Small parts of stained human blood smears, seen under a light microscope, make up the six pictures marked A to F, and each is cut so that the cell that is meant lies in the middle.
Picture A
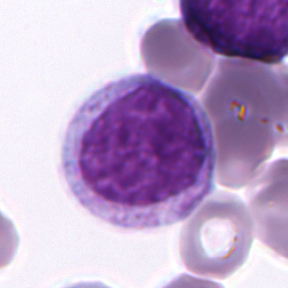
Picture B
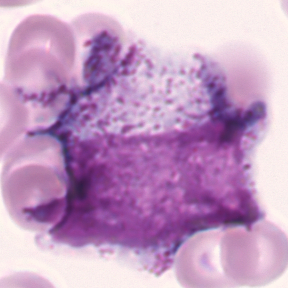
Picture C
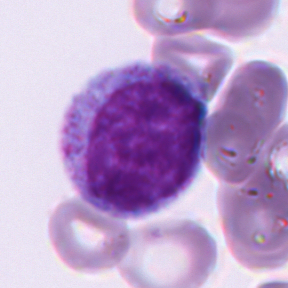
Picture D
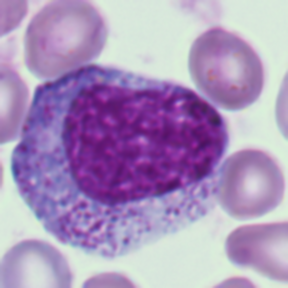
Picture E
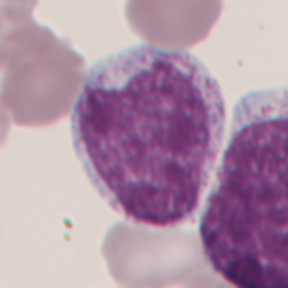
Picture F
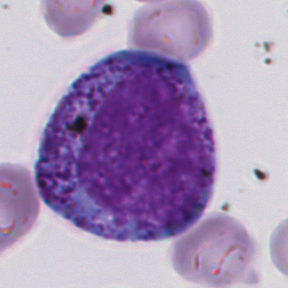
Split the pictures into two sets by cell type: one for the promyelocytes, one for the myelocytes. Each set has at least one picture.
A: myelocyte
B: promyelocyte
C: myelocyte
D: promyelocyte
E: myelocyte
F: promyelocyte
